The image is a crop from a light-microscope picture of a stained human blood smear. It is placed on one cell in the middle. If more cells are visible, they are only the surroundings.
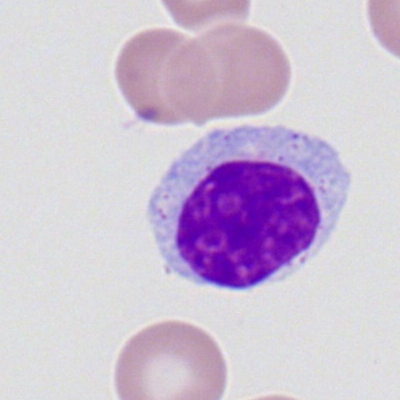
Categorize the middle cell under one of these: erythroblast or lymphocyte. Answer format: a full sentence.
Standing at the centre of this crop is a lymphocyte.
